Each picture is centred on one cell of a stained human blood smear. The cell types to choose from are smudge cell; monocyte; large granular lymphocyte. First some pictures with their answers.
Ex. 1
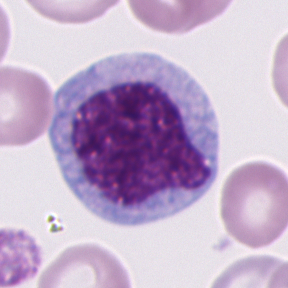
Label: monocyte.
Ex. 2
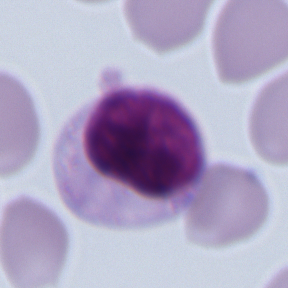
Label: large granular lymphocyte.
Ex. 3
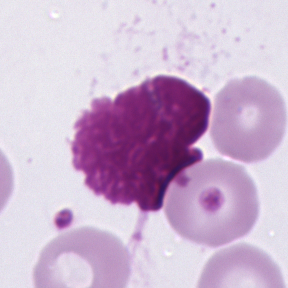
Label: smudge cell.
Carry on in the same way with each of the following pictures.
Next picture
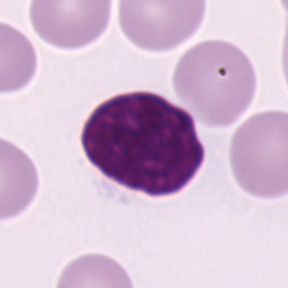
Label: smudge cell.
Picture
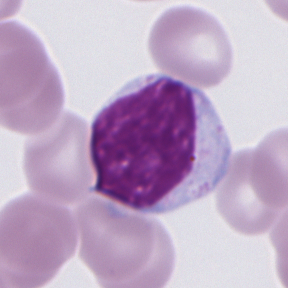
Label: large granular lymphocyte.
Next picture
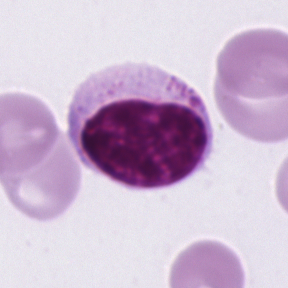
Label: large granular lymphocyte.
